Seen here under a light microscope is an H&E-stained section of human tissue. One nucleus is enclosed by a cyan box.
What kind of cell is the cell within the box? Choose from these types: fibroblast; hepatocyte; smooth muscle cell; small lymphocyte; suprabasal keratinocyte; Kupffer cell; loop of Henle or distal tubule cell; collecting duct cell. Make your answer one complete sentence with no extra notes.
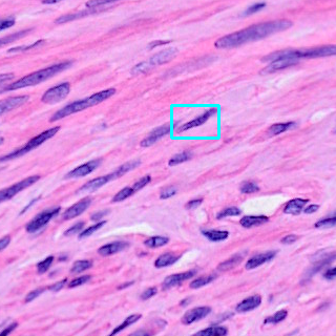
In this section of tissue, the cell within the box is a smooth muscle cell.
